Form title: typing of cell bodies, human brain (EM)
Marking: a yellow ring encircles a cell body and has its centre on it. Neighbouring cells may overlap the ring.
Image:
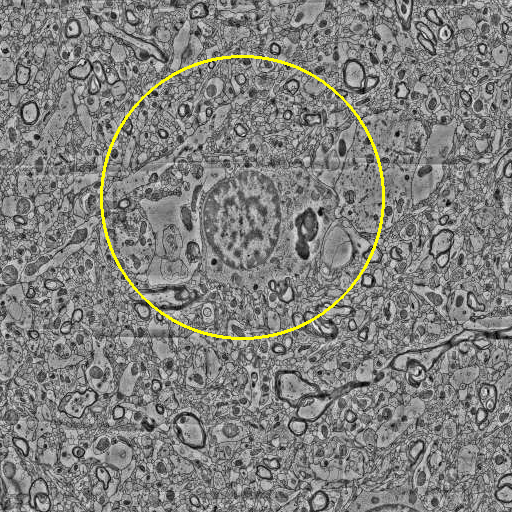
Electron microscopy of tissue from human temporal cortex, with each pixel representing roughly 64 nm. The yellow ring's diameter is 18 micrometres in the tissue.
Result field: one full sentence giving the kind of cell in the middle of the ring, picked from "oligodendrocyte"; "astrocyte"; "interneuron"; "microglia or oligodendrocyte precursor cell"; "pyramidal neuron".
In the picture, the ring is centred on an oligodendrocyte, whose cell body it encircles.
